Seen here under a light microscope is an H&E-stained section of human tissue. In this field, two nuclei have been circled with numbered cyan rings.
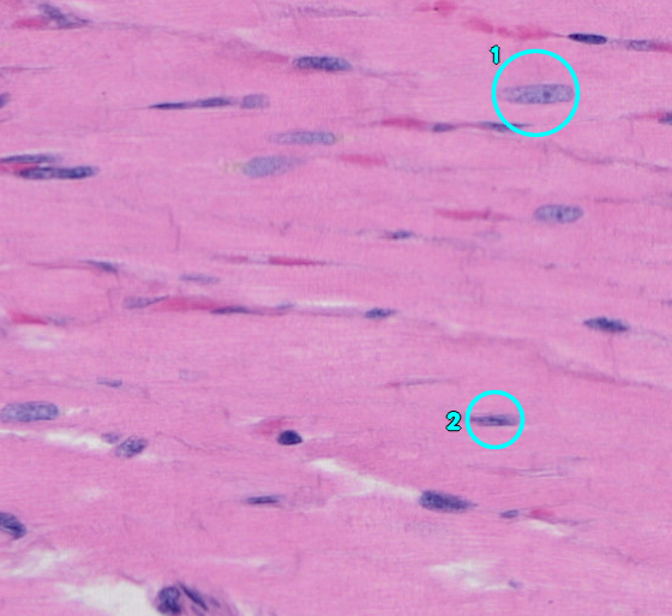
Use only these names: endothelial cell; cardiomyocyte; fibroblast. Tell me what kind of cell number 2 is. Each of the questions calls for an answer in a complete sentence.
The identity of cell 2 is that of an endothelial cell.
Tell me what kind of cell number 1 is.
Cell 1, among those numbered, is a cardiomyocyte.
